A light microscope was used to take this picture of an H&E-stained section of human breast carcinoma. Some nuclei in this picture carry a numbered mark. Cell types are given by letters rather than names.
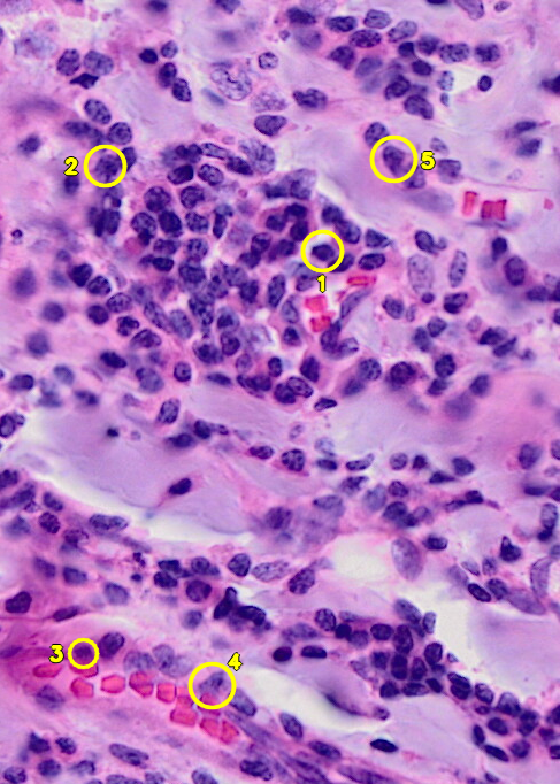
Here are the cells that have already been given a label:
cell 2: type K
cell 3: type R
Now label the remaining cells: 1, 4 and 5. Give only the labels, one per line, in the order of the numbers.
type K
type R
type K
